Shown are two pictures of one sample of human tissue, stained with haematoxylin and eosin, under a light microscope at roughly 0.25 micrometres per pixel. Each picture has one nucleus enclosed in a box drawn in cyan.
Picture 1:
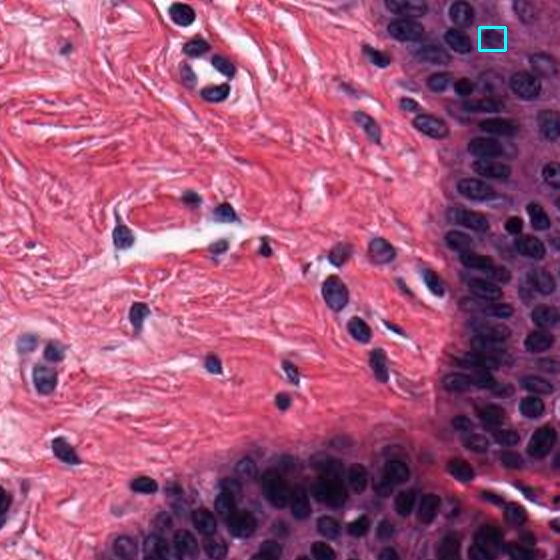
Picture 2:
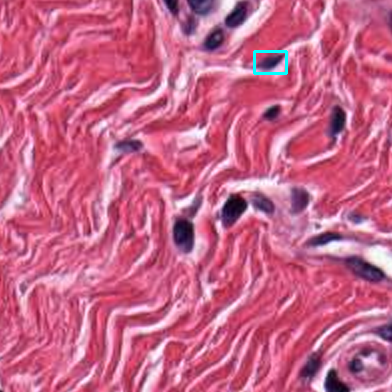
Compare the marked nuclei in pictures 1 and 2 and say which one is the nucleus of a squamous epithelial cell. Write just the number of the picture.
1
